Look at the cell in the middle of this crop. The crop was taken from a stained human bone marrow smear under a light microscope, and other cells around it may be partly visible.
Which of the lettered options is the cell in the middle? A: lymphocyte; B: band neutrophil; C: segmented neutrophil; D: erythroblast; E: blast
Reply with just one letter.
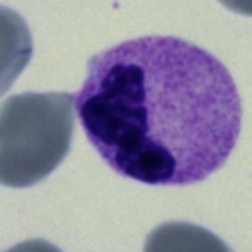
C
